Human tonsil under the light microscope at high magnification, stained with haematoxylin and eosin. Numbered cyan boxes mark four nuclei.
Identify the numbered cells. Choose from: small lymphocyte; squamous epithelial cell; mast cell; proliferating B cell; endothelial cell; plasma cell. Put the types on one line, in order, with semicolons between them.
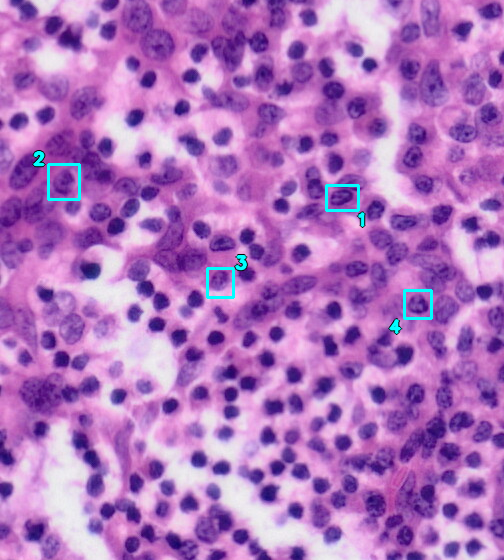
plasma cell; squamous epithelial cell; plasma cell; plasma cell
